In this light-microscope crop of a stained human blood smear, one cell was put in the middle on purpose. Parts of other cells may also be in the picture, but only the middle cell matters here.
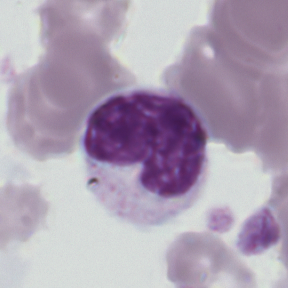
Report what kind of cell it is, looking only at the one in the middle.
metamyelocyte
